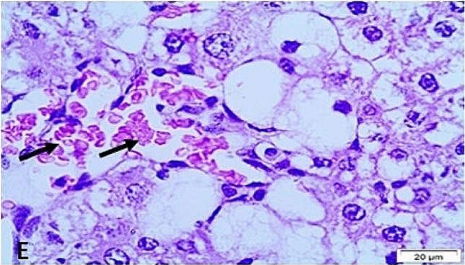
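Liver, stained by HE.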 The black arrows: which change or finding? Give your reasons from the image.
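Surrounding hepatocytes contain large clear vacuoles.
Hemorrhage.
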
